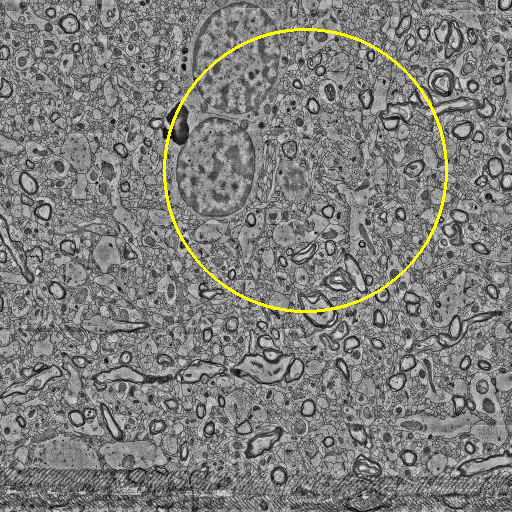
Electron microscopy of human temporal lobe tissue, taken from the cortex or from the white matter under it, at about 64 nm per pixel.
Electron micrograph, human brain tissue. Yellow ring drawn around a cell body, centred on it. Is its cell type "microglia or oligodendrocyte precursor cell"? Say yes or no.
no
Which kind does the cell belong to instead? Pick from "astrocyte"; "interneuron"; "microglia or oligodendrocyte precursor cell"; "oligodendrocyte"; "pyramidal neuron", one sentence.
In this picture, the ring is centred on an oligodendrocyte.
